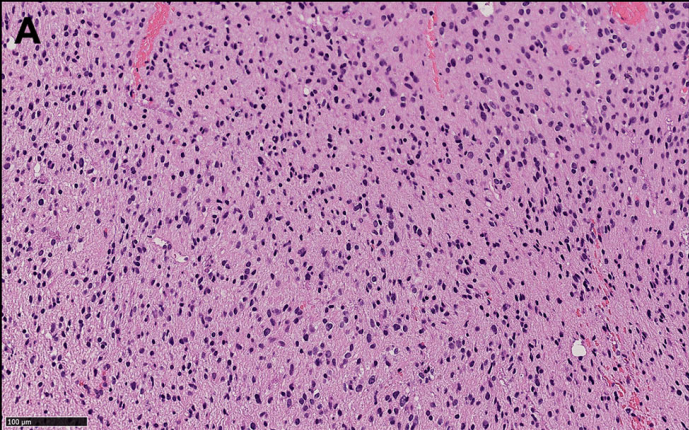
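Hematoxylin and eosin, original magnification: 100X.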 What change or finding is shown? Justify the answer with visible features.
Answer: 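Diffuse, infiltrative glioma with astrocytic morphology. The tissue is densely packed with many dark, elongated to oval nuclei. The nuclei lie scattered evenly through a pink fibrillary background rather than forming a bounded mass. The cells have scant cytoplasm merging into fine pink fibrillary processes.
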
